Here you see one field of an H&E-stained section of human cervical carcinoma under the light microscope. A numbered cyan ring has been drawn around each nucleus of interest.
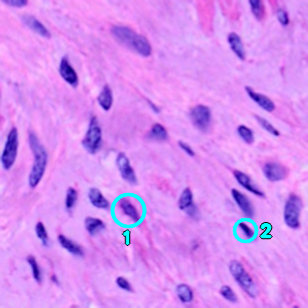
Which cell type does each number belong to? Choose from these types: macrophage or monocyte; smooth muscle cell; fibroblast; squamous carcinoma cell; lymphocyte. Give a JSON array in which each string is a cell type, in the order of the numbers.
["smooth muscle cell", "fibroblast"]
